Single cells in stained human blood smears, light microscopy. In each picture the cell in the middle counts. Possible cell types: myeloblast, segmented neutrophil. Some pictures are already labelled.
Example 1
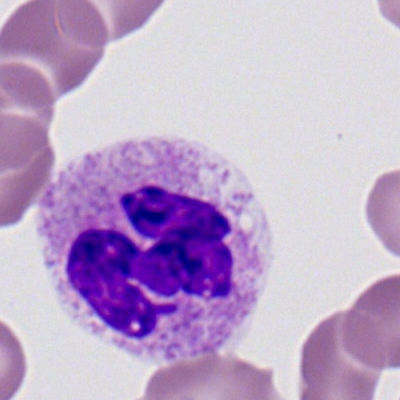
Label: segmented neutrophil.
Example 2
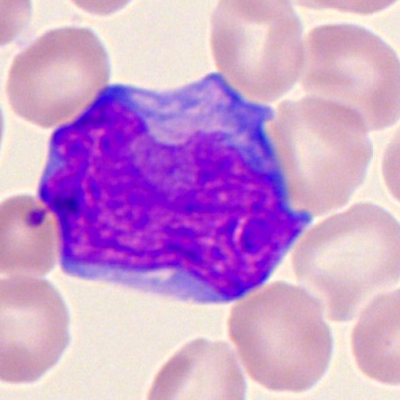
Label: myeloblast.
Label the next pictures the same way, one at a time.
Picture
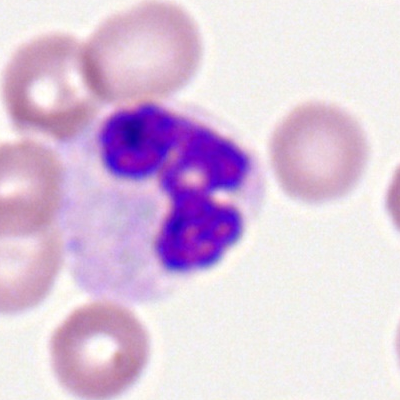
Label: segmented neutrophil.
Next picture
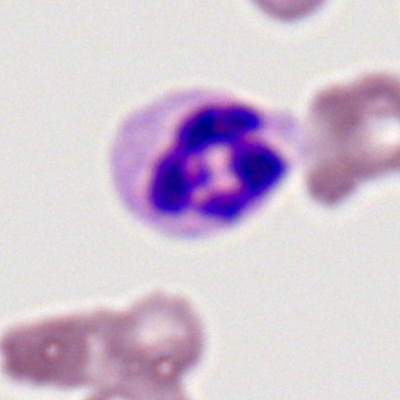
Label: segmented neutrophil.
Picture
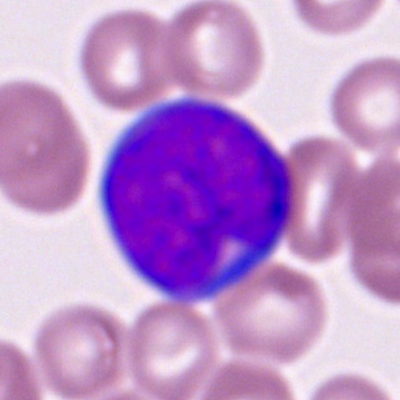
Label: myeloblast.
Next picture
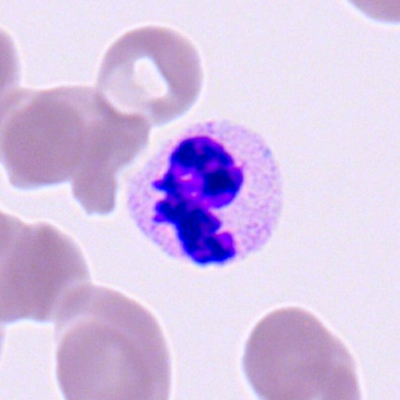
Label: segmented neutrophil.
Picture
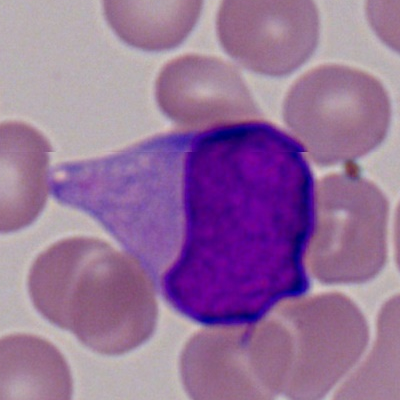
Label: myeloblast.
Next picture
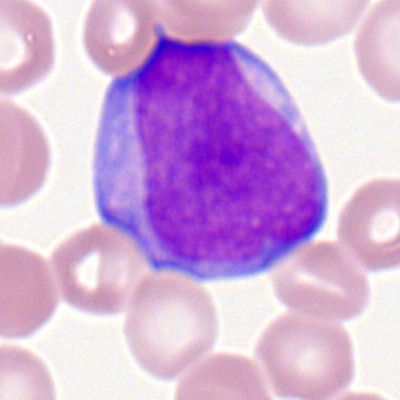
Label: myeloblast.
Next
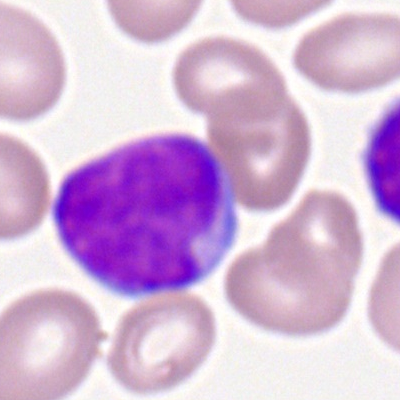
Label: myeloblast.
